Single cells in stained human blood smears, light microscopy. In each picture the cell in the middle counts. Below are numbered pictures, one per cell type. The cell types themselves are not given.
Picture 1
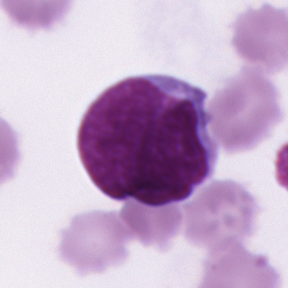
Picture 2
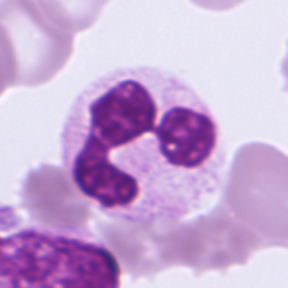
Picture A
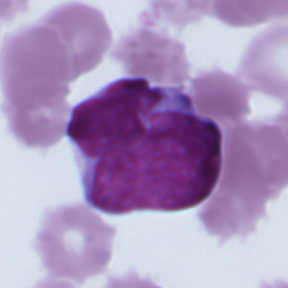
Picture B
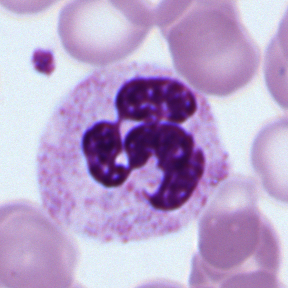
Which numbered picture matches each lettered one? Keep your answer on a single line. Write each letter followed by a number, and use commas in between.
A 1, B 2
